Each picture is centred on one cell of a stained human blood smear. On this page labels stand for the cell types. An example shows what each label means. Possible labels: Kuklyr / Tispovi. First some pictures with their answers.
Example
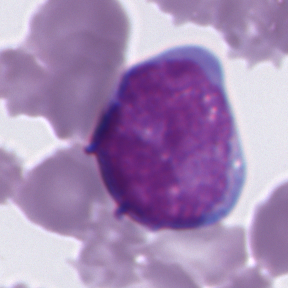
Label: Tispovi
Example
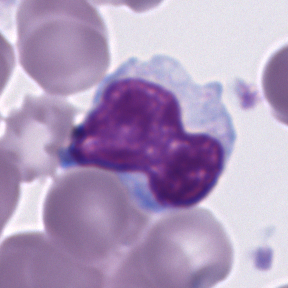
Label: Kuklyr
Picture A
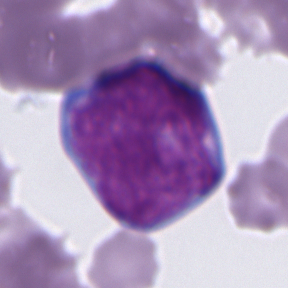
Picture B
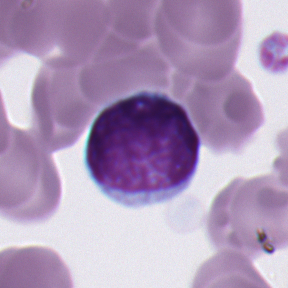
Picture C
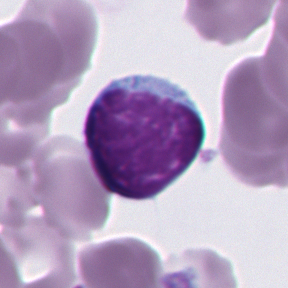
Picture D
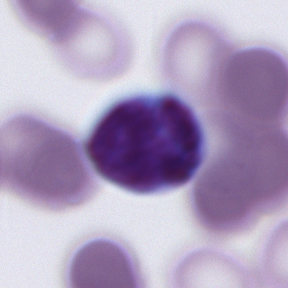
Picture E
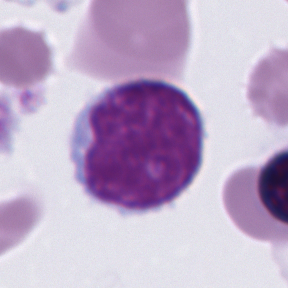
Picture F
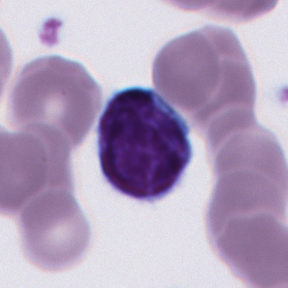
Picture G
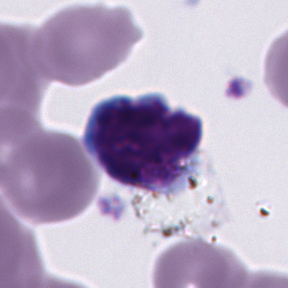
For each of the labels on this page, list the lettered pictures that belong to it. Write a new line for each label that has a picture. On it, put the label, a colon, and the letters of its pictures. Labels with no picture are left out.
Kuklyr: B, C, D, E, F, G
Tispovi: A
